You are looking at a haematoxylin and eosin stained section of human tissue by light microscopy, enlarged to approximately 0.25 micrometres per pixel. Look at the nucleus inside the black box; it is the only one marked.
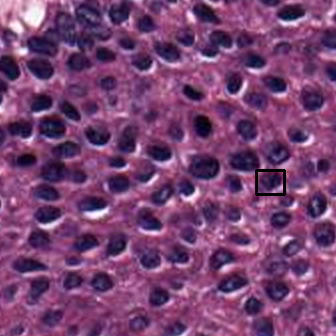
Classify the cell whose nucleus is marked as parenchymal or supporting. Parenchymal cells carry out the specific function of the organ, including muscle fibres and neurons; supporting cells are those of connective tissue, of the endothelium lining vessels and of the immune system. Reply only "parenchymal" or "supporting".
parenchymal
